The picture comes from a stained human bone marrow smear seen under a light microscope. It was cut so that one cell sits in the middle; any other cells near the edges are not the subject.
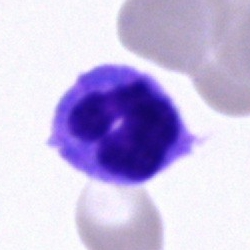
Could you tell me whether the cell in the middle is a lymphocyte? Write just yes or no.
no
